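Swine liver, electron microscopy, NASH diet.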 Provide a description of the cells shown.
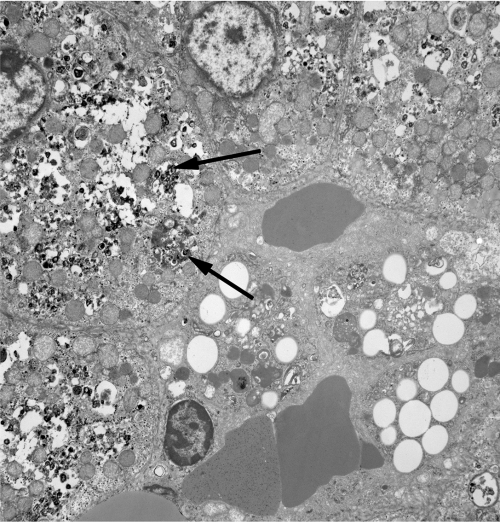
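Hepatocytes with a large round nucleus at the top are filled over much of their cytoplasm with vesicles holding dark, fragmented contents. Clear round vacuoles of varying size cluster in one cell region. Red blood cells lie in a sinusoid between cells. Arrows mark vesicles with dark contents.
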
